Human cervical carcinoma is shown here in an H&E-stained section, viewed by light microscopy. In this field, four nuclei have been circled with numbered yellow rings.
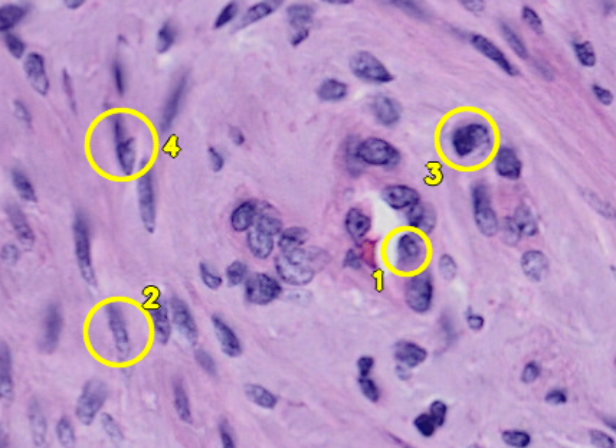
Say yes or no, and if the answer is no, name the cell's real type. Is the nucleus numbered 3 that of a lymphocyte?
Yes.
